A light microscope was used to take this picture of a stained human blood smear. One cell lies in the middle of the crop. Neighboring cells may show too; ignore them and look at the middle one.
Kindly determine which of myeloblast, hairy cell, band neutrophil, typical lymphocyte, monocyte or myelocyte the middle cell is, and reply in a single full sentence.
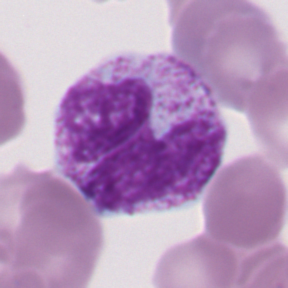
By classification, the middle cell of this crop is a band neutrophil.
